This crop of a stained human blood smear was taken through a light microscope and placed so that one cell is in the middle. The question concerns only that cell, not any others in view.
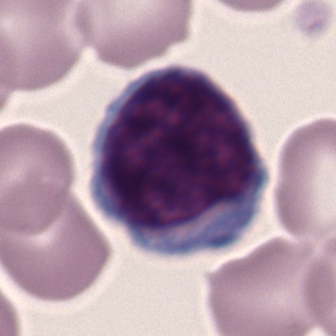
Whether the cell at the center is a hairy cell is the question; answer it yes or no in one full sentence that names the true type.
No, it isn't a hairy cell; what sits in the middle is a typical lymphocyte.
